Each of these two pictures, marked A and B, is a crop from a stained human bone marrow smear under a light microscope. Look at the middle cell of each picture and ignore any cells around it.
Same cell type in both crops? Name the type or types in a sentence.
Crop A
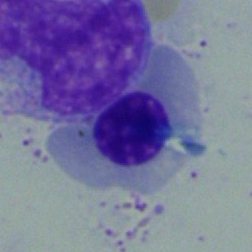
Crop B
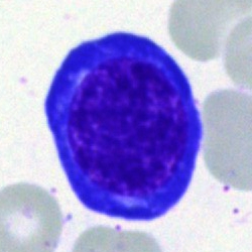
Yes, in short, both crops show normoblasts.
